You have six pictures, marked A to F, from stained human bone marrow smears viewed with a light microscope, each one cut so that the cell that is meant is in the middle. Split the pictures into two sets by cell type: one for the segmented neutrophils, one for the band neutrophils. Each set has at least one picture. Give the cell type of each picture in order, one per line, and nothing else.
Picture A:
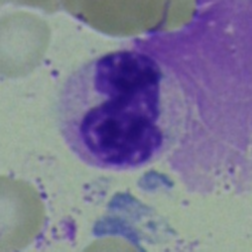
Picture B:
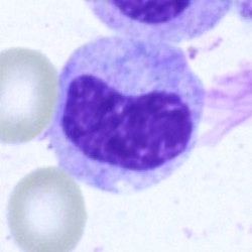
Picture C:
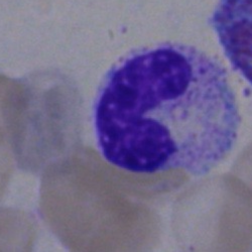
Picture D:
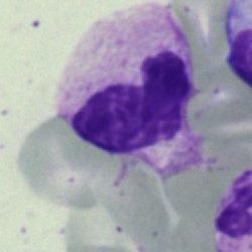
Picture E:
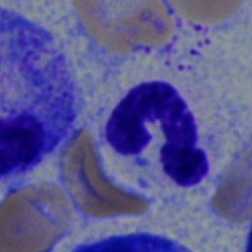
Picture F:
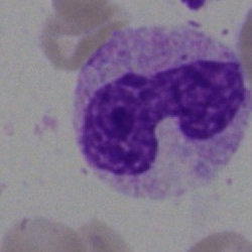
segmented neutrophil
band neutrophil
band neutrophil
segmented neutrophil
band neutrophil
band neutrophil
